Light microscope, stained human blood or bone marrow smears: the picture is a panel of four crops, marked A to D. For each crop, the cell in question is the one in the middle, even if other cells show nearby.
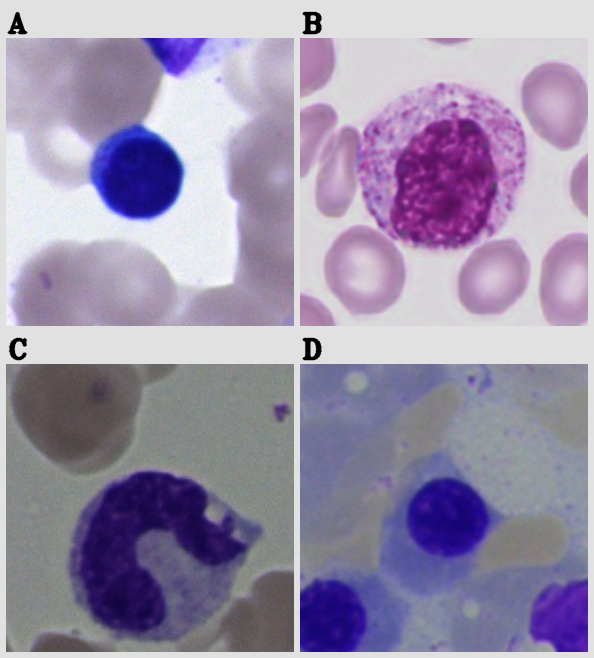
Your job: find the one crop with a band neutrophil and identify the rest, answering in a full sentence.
Crop C is where a band neutrophil is shown, whereas crop A is a lymphocyte, crop B is a metamyelocyte and crop D is an erythroblast.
